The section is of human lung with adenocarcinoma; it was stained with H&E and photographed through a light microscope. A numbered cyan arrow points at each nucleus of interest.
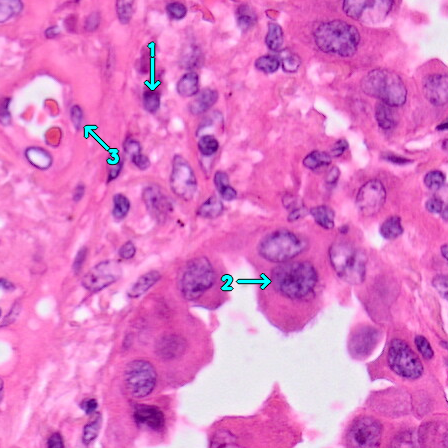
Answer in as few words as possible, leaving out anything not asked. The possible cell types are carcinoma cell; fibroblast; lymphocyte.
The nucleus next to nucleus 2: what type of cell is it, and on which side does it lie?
a carcinoma cell above nucleus 2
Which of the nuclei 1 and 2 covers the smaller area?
1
